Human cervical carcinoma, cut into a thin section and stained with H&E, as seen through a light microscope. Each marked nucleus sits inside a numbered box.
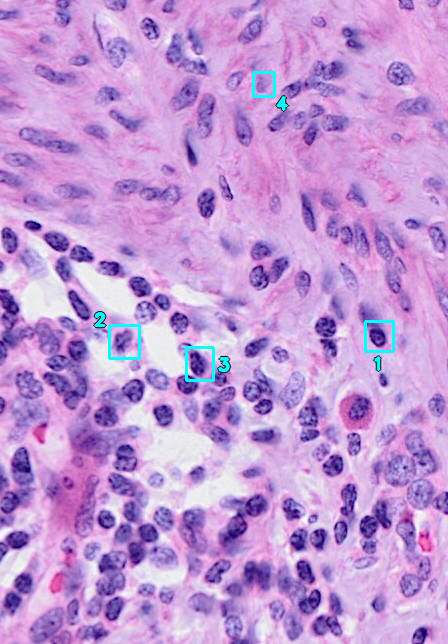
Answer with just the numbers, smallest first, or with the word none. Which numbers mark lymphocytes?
1, 2, 3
